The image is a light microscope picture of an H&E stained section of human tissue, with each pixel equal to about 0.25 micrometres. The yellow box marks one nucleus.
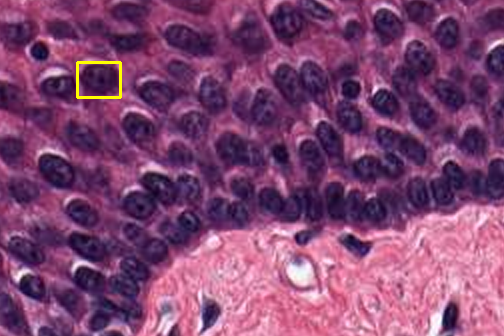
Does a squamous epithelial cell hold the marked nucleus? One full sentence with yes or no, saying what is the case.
Yes, the marked nucleus is the nucleus of a squamous epithelial cell.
